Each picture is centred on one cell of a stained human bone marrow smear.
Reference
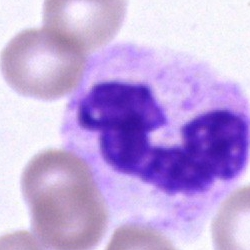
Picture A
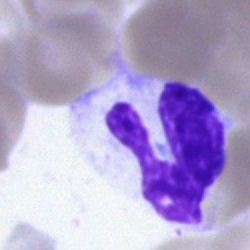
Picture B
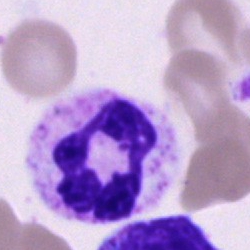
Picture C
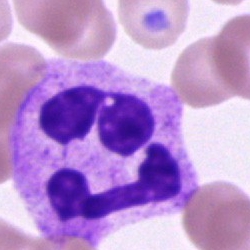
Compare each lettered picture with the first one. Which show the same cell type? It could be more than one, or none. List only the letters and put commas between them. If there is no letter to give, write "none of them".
A, B, C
